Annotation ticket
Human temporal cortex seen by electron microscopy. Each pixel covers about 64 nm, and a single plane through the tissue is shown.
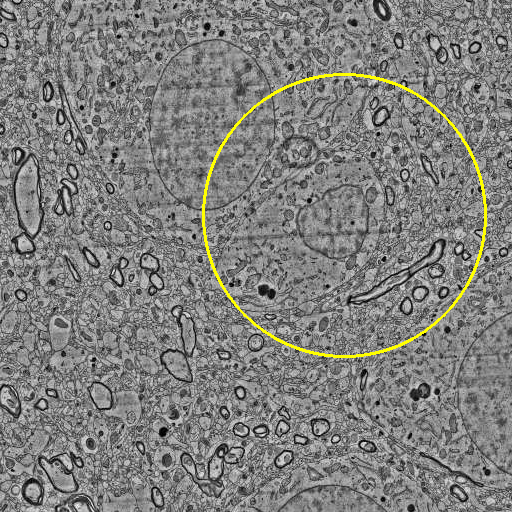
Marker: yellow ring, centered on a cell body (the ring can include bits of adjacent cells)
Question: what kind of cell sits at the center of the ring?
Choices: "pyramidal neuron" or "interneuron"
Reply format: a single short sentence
The ring is centered on a pyramidal neuron.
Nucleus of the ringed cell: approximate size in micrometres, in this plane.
About 5 micrometres across in this plane, for the nucleus.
